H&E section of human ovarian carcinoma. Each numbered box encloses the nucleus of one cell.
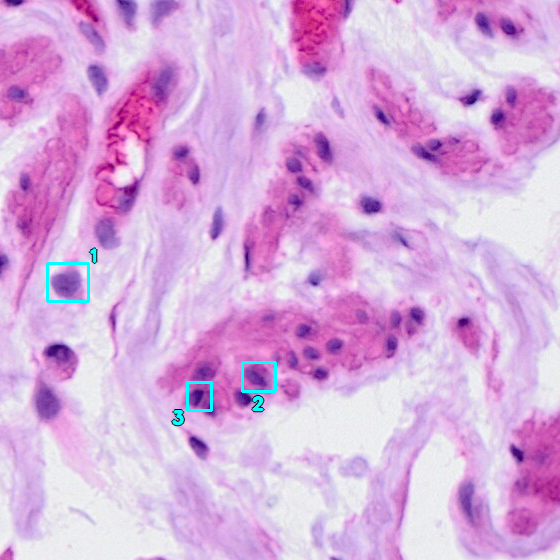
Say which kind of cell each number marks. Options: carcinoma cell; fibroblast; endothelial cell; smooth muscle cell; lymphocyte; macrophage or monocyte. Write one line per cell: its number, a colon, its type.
1: fibroblast
2: smooth muscle cell
3: smooth muscle cell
